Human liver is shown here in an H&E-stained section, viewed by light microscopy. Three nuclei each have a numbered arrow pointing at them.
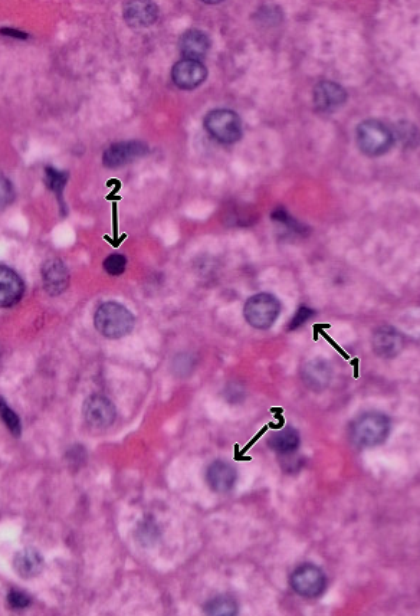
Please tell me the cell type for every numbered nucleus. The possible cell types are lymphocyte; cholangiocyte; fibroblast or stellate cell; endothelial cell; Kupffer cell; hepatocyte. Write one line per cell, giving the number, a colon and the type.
1: fibroblast or stellate cell
2: lymphocyte
3: hepatocyte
